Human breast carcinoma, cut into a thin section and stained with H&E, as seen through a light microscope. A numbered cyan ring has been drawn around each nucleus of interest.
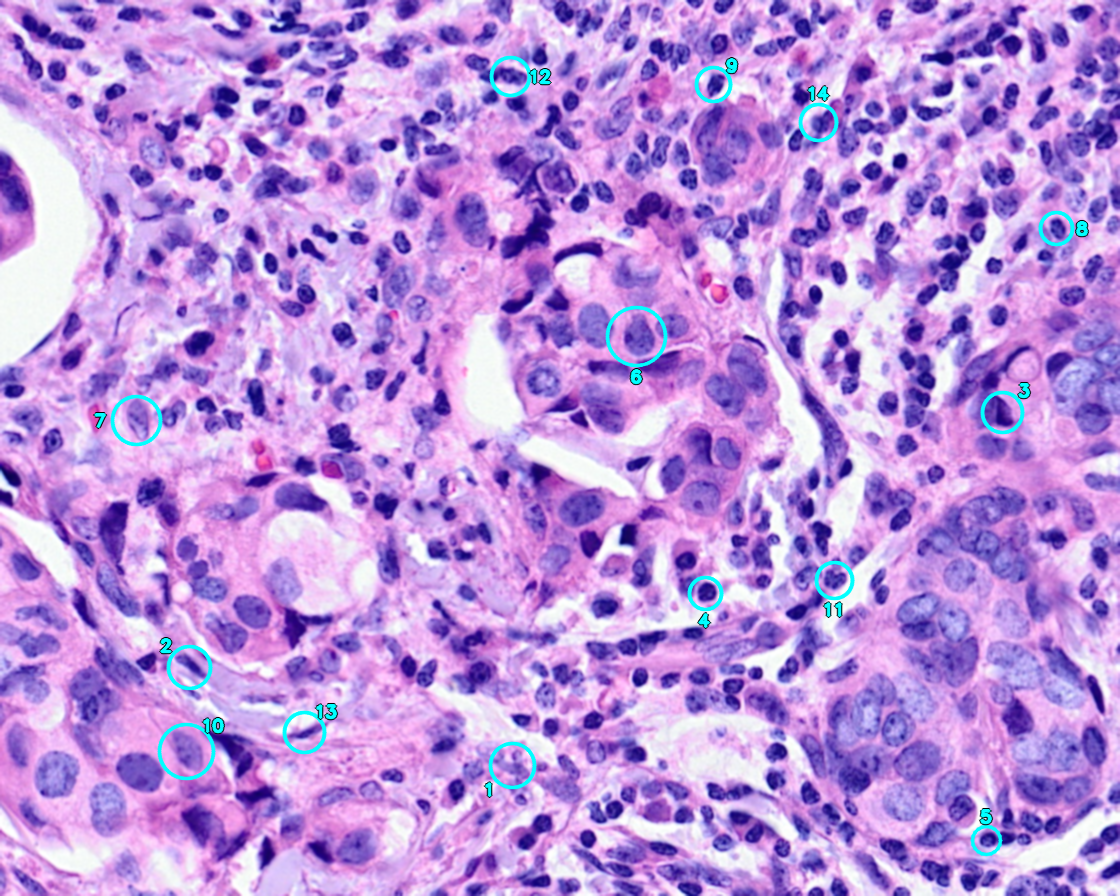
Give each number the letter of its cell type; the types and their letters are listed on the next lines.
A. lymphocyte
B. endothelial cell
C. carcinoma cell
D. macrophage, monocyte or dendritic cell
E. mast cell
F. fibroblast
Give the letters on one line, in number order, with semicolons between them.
D; F; C; A; A; C; B; A; A; C; A; A; F; A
